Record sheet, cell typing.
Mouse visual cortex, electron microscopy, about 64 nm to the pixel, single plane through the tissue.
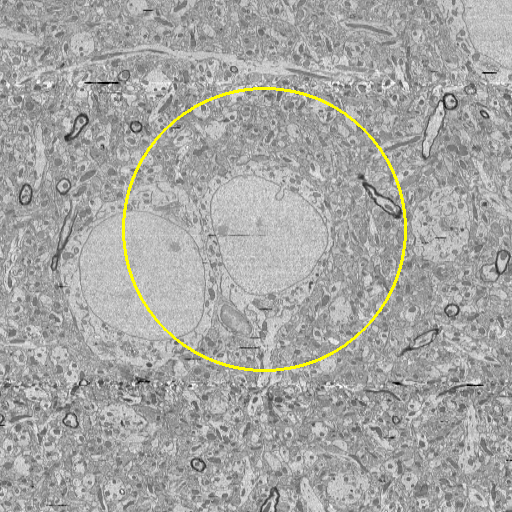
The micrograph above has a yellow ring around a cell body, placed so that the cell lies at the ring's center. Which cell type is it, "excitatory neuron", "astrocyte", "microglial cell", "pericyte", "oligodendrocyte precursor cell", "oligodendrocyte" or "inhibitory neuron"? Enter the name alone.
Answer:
excitatory neuron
